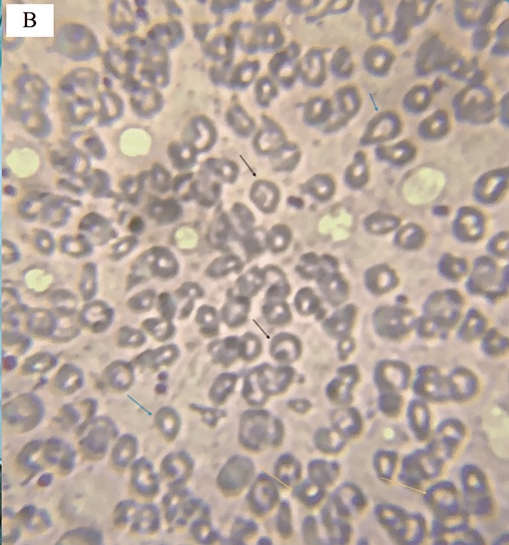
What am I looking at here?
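This is a peripheral blood smear crowded with red blood cells, most of them round with a dark rim and a paler centre. Some are not round but drawn out to one side. Pale, round, yellowish bodies and a few small dark dots lie scattered between the red cells.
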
